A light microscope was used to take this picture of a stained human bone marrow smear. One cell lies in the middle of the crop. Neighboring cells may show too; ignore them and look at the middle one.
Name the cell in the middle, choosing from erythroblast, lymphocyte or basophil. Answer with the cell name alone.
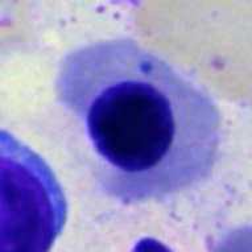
erythroblast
